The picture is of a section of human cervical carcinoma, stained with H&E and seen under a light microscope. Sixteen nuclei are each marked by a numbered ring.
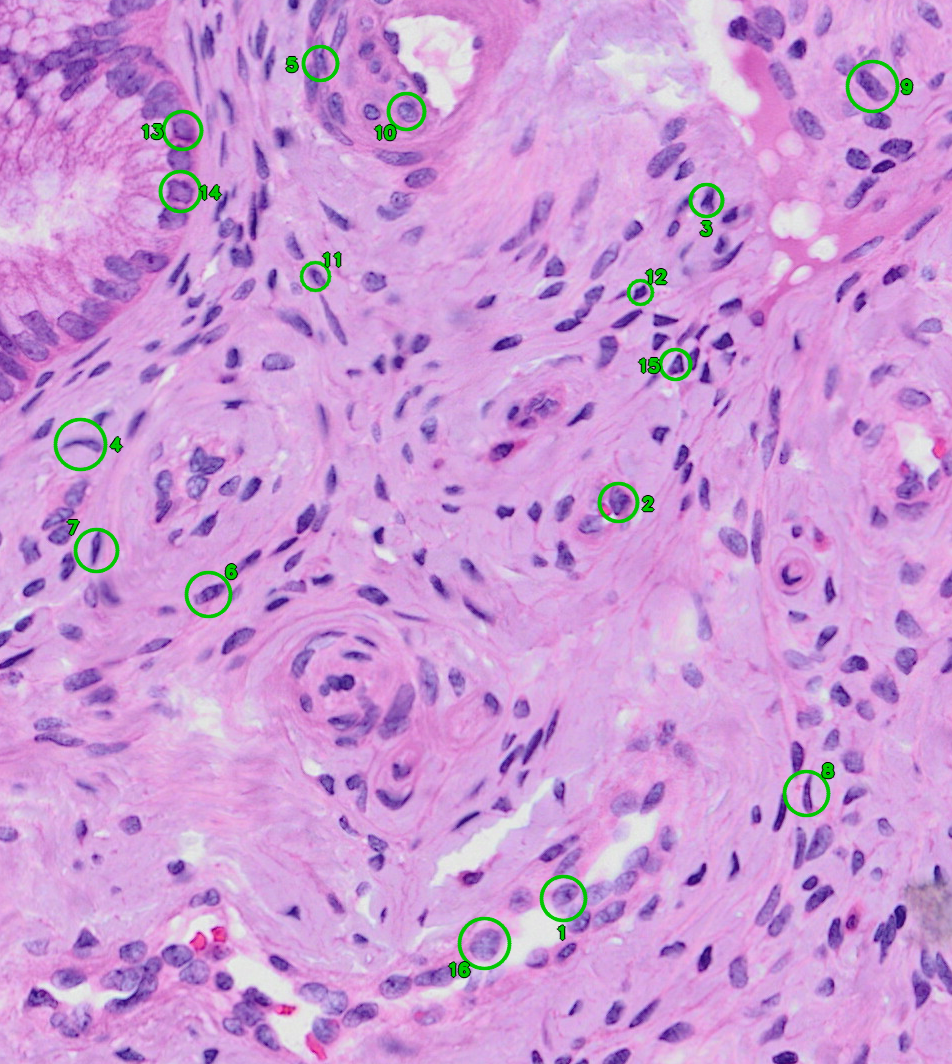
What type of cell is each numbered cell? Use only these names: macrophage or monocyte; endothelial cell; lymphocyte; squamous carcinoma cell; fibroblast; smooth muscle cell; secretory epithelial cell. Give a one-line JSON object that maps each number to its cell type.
{"1": "endothelial cell", "2": "endothelial cell", "3": "fibroblast", "4": "fibroblast", "5": "smooth muscle cell", "6": "fibroblast", "7": "fibroblast", "8": "fibroblast", "9": "fibroblast", "10": "smooth muscle cell", "11": "fibroblast", "12": "fibroblast", "13": "secretory epithelial cell", "14": "secretory epithelial cell", "15": "fibroblast", "16": "endothelial cell"}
